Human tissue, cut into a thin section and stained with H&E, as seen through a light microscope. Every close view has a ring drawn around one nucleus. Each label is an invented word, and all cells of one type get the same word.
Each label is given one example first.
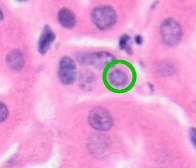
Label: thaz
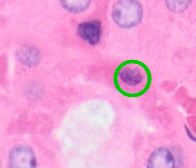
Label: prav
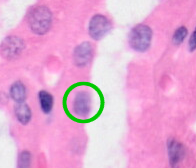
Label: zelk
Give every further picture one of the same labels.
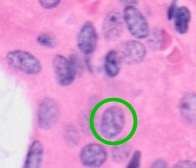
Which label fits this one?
thaz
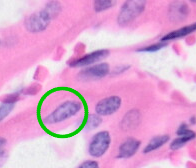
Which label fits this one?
thaz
